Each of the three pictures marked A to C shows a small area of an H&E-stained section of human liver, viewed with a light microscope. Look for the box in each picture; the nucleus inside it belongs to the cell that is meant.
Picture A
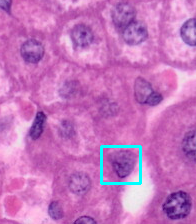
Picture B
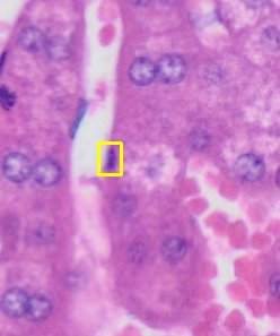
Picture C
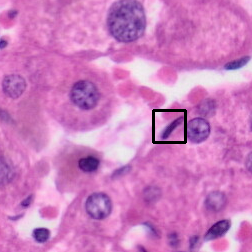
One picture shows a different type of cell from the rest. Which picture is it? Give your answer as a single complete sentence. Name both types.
Picture A differs, because its cell is an endothelial cell and the rest are “fibroblasts or stellate cells”.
